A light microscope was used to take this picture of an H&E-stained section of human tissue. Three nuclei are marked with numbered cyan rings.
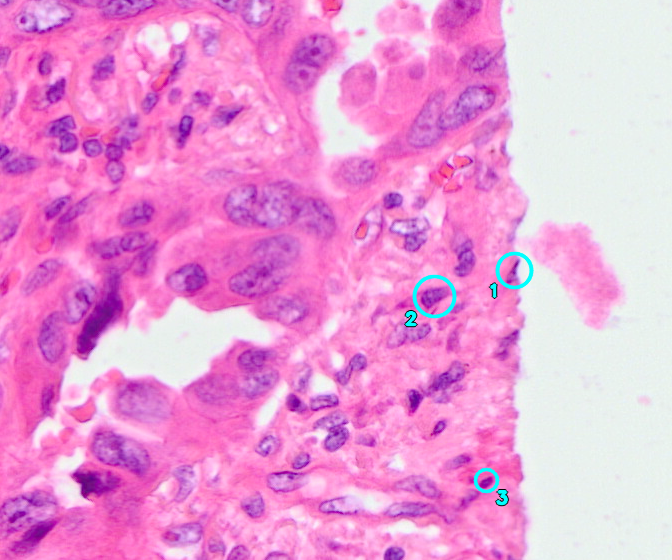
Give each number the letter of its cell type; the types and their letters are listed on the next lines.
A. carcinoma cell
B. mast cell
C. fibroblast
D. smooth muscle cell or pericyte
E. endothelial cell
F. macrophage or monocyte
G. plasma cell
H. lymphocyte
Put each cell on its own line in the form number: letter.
1: E
2: G
3: D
